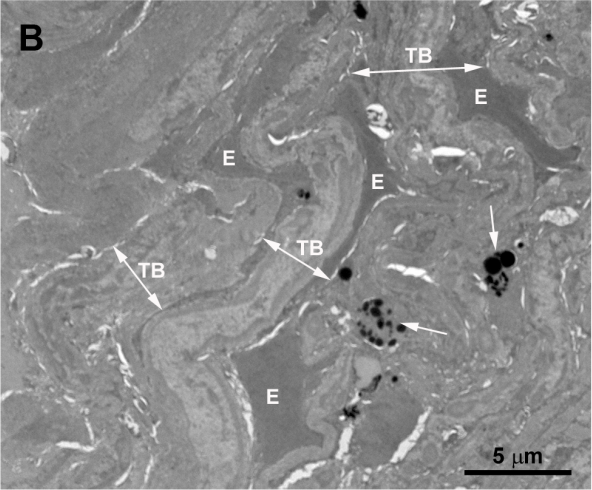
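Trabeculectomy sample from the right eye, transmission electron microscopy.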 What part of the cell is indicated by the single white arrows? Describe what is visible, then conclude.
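Melanin granules. The single arrows point to small round intensely electron-dense black granules. The granules lie in clusters among the trabecular tissue.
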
